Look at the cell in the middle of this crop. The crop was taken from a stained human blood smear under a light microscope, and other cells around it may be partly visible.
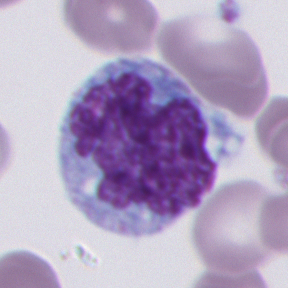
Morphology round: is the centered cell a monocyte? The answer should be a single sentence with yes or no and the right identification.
Yes, the cell positioned in the middle is a monocyte.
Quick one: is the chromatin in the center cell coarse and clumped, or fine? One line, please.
Answer: the chromatin in this nucleus is coarsely clumped.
